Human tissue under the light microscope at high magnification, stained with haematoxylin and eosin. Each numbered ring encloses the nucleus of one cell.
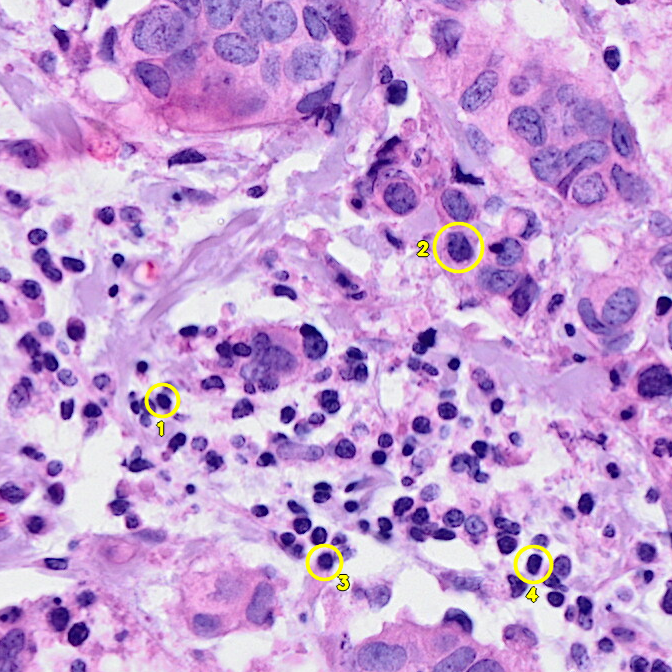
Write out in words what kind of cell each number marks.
Cell 1 is a lymphocyte, cell 2 is a carcinoma cell, cell 3 is a lymphocyte and cell 4 is a lymphocyte.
